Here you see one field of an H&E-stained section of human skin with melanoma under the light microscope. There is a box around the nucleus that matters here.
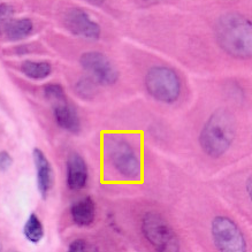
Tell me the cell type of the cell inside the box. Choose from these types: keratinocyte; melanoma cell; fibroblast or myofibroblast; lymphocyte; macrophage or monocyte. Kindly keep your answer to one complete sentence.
Labelled by cell type, the cell inside the box is a keratinocyte.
